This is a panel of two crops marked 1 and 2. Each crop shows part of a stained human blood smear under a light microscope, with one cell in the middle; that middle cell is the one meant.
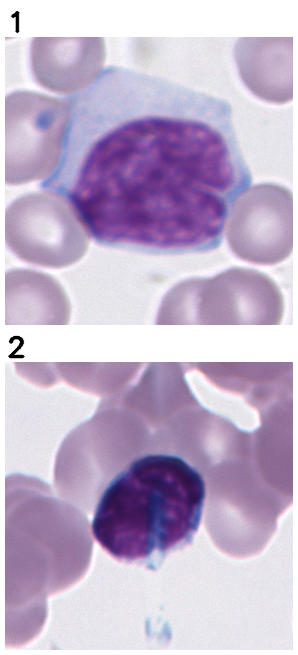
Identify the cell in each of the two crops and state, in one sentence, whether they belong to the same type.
No, a blast is depicted by crop 1, a lymphocyte by crop 2.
